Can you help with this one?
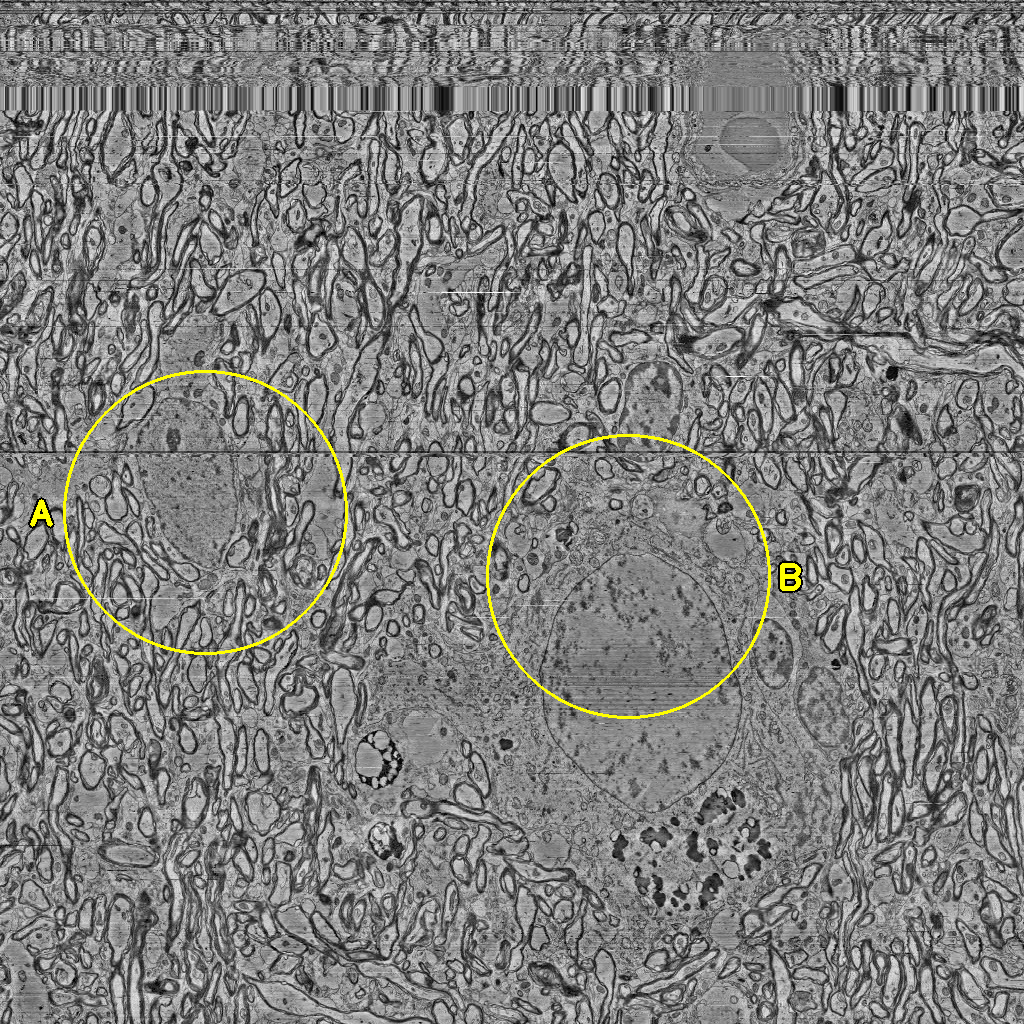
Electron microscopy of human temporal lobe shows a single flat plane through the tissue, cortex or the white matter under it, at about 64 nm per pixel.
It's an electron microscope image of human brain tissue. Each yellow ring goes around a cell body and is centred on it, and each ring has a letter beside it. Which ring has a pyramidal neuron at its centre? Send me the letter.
B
